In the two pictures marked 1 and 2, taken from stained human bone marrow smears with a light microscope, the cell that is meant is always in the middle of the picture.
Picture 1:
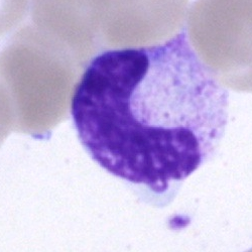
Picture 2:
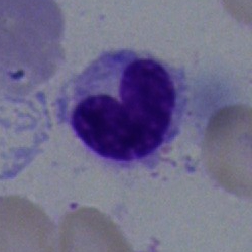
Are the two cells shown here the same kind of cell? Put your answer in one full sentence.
Yes; the cells in both pictures are band neutrophils.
